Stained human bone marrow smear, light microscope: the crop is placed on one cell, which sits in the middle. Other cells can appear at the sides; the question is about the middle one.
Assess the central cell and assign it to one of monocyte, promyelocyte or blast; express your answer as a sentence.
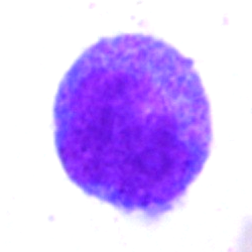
The cell of interest, located centrally, is a promyelocyte.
